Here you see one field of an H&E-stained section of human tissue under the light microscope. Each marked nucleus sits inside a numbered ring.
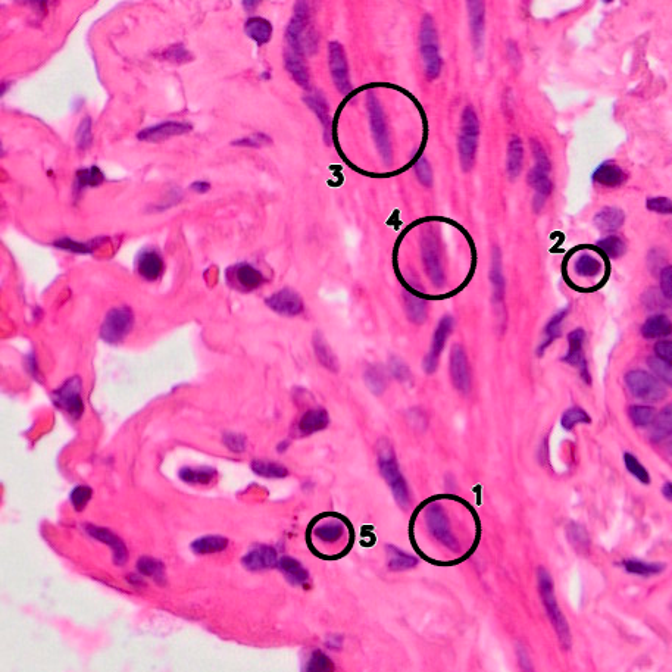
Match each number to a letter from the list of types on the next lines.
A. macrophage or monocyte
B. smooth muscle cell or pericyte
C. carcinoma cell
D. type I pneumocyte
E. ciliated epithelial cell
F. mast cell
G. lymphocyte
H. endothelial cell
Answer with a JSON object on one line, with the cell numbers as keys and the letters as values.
{"1": "B", "2": "G", "3": "B", "4": "B", "5": "F"}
